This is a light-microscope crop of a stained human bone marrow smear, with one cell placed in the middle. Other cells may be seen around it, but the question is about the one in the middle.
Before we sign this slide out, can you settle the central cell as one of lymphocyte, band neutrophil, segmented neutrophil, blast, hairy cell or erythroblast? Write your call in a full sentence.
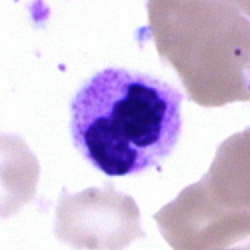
The centrally placed cell is classified as a segmented neutrophil.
